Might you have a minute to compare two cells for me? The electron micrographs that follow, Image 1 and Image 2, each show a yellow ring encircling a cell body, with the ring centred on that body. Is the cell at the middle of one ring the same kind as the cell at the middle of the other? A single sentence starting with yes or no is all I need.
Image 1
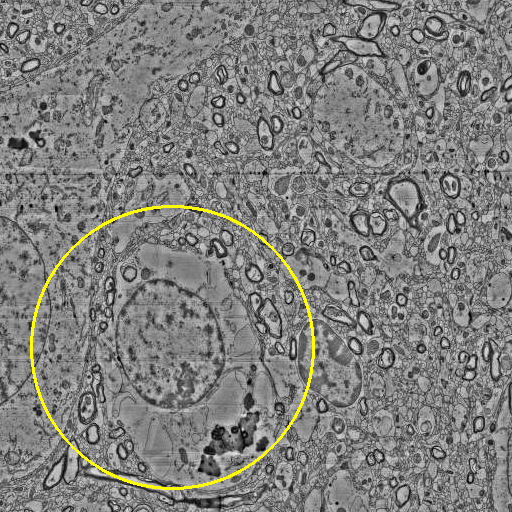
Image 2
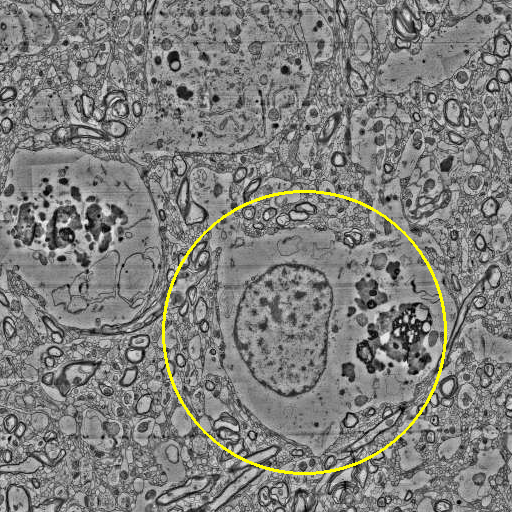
Yes, the cells in the middle of the two rings are of one shared kind.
